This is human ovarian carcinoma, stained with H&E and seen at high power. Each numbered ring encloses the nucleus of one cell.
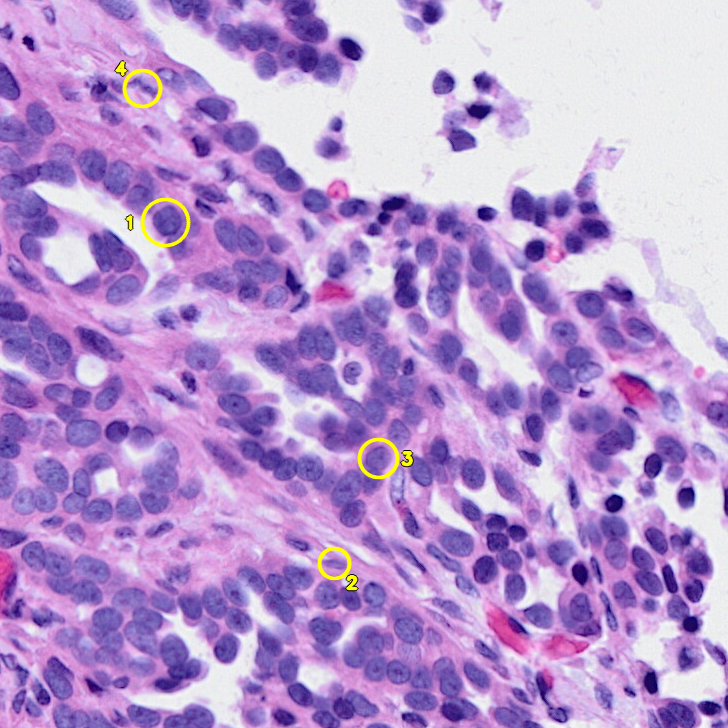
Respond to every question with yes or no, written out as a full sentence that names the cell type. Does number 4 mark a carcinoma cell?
No, cell 4 is identified not as a carcinoma cell but as a fibroblast.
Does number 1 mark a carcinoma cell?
Yes, the cell carrying number 1 is a carcinoma cell.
